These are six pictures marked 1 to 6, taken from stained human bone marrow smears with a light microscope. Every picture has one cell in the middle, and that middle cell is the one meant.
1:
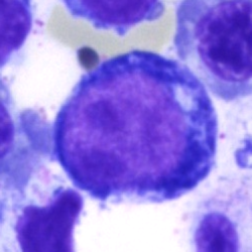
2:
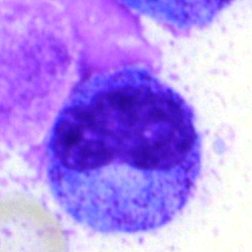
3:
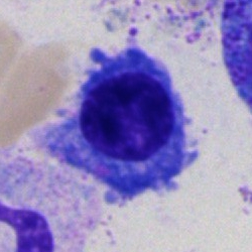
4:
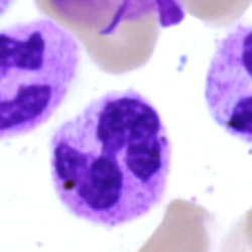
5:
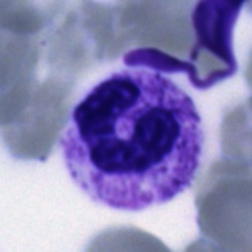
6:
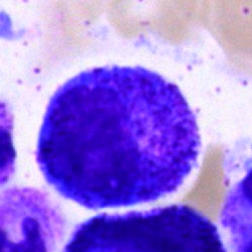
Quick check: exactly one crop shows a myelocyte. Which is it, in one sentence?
The crop bearing a myelocyte is crop 2.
